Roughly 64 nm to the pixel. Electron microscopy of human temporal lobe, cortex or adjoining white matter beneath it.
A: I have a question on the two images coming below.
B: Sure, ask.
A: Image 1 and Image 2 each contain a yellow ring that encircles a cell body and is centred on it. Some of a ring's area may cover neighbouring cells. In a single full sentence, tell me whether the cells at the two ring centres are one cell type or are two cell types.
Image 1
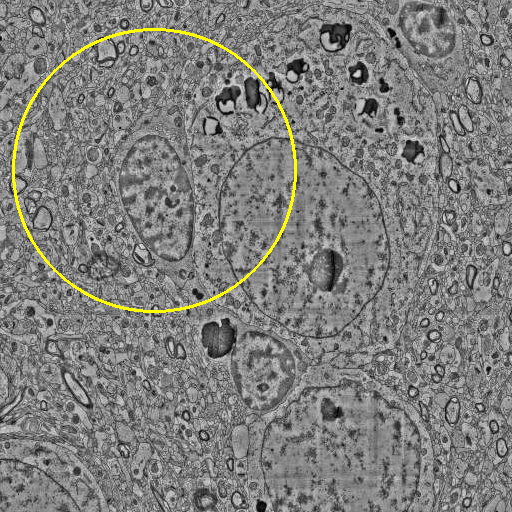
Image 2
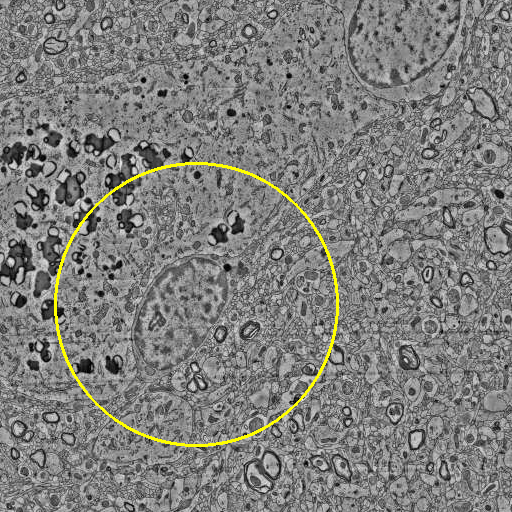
As for the ring-centre cells, the one in Image 1 and the one in Image 2 are one cell type.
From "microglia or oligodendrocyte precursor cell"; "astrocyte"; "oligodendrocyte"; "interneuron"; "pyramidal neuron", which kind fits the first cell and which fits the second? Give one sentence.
In both pictures the ring is centred on an oligodendrocyte.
